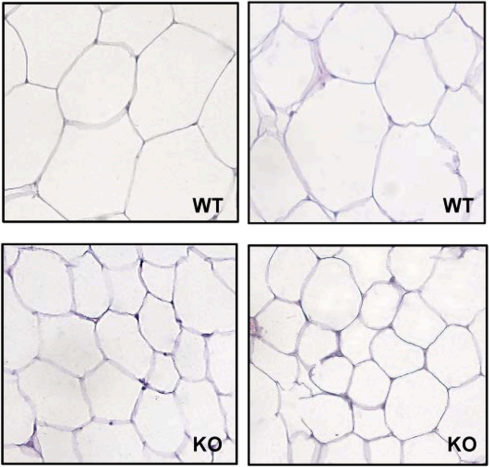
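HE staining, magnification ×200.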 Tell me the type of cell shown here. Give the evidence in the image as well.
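Large, empty-looking polygonal cells packed closely together. Each cell is bounded only by a thin pale purple rim. Few flattened nuclei sit at the cell edges. The answer: adipocytes.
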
